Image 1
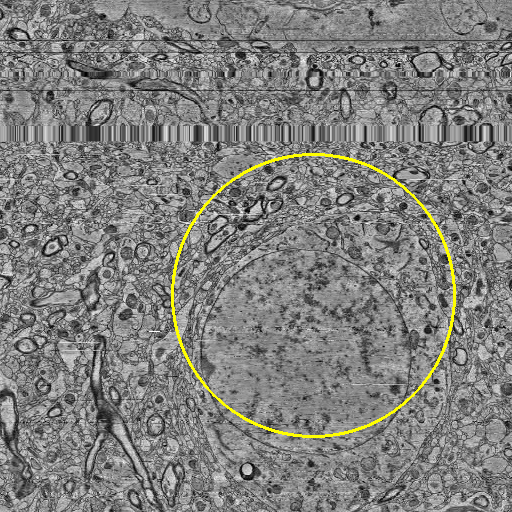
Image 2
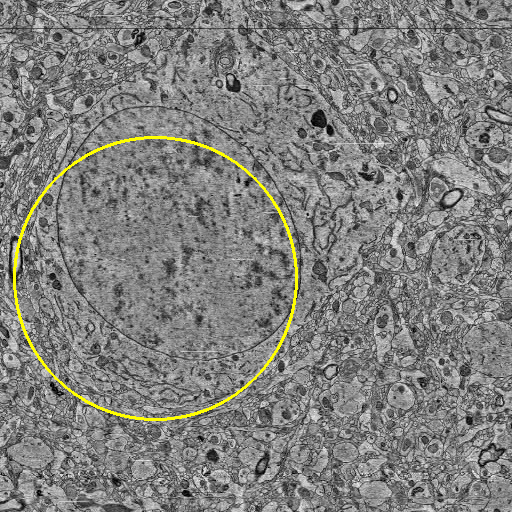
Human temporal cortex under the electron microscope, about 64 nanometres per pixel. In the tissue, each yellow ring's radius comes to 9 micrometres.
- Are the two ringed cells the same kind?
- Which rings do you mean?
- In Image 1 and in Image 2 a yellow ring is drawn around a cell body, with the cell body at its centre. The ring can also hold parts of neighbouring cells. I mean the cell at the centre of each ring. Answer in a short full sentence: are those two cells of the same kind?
Yes, both cells are of the same kind.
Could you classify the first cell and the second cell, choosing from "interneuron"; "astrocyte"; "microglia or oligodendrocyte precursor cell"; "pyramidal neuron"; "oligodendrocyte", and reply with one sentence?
Both the first and the second picture show a pyramidal neuron in the ring.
